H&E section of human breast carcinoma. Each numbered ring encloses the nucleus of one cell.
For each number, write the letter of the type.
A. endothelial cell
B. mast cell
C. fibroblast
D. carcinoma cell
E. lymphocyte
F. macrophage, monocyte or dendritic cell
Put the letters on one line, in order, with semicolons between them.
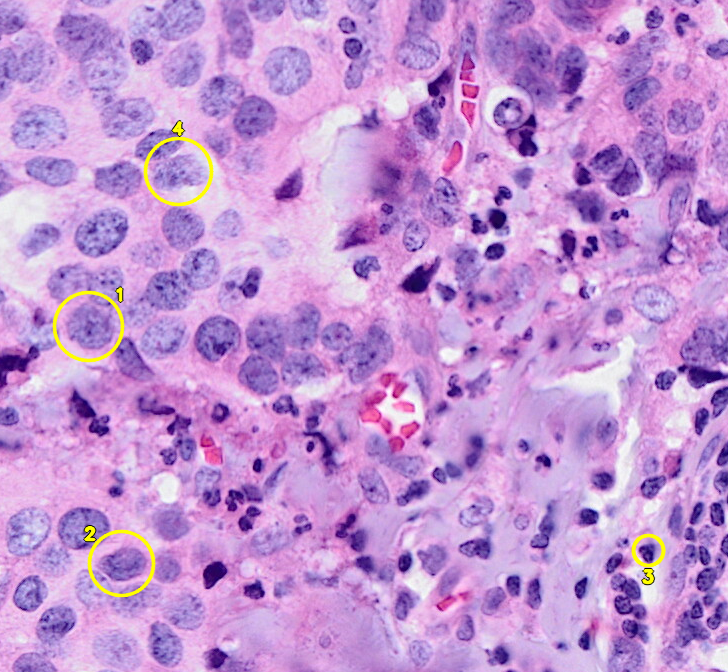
D; D; E; D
